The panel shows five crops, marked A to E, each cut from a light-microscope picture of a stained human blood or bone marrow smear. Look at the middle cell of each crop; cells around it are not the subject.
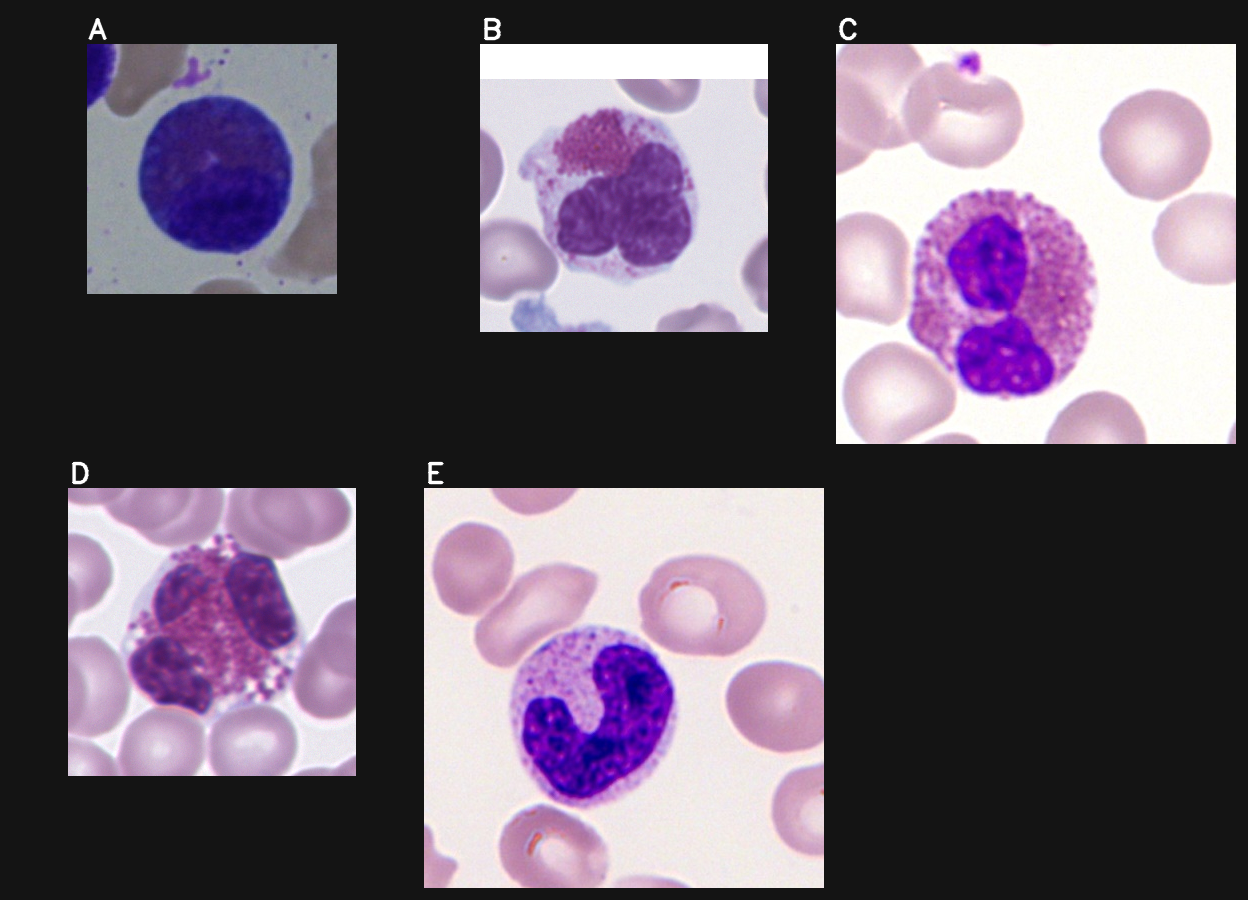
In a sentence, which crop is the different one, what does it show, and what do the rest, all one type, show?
Seen in crop E is a band neutrophil, and seen in all other crops are eosinophils.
